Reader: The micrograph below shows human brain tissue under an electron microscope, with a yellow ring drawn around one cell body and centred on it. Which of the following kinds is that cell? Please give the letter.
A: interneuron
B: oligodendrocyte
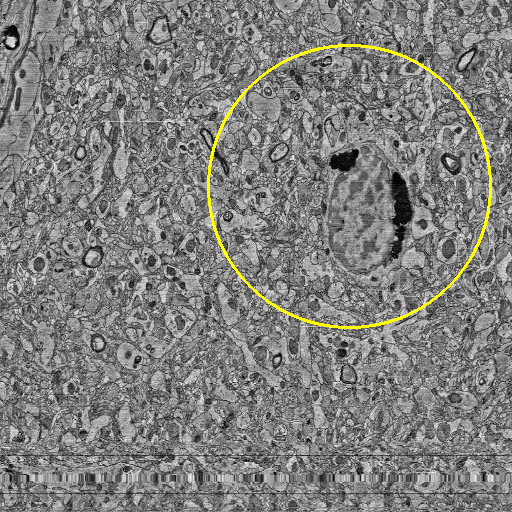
B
